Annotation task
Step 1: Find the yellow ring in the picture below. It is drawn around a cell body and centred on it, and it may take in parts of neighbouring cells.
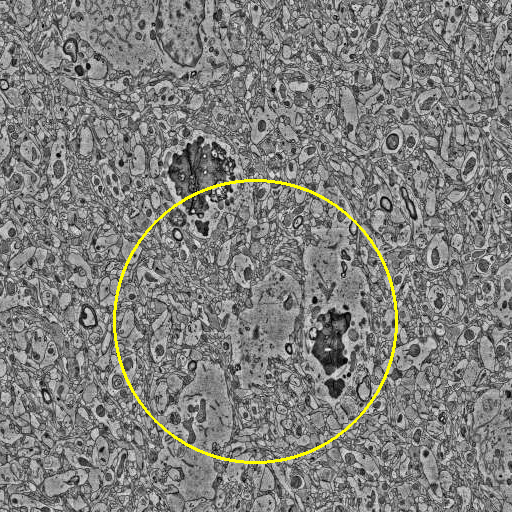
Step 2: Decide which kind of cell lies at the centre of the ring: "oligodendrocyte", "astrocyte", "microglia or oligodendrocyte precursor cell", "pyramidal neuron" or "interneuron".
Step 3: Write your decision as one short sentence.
The kind of cell at the ring's centre is an astrocyte.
